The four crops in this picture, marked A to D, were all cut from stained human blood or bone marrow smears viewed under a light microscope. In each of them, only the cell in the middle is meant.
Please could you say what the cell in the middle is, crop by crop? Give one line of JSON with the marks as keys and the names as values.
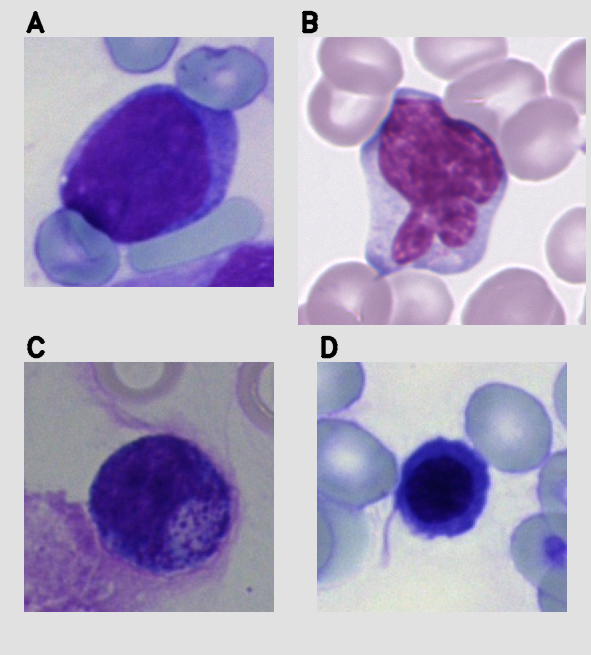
{"A": "blast", "B": "blast", "C": "promyelocyte", "D": "normoblast"}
